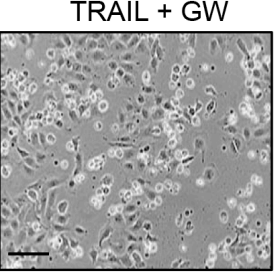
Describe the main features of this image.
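This phase contrast image of a cultured cell layer shows a mixture of flattened, spread cells and small rounded cells with bright rims. The rounded cells are scattered singly and in small groups across the field. Open areas of bare substrate lie between them, so the layer is far from confluent. The rounded, refractile forms are typical of cells undergoing apoptosis, while the spread cells remain attached.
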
